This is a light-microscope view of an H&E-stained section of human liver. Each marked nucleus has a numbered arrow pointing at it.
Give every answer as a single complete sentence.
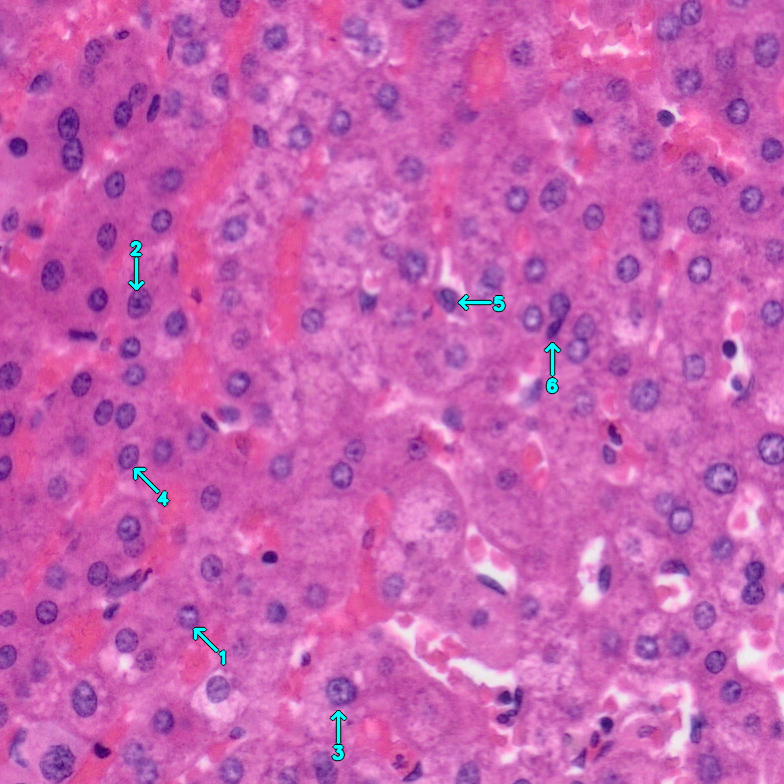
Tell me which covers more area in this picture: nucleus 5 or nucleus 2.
Nucleus 2 is larger, with an area about 1.5 times that of nucleus 5.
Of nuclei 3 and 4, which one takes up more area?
Nucleus 3 is the larger one, covering about 1.5 times the area of nucleus 4.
